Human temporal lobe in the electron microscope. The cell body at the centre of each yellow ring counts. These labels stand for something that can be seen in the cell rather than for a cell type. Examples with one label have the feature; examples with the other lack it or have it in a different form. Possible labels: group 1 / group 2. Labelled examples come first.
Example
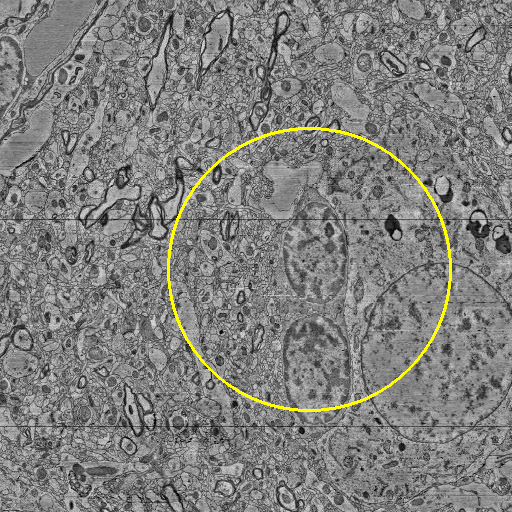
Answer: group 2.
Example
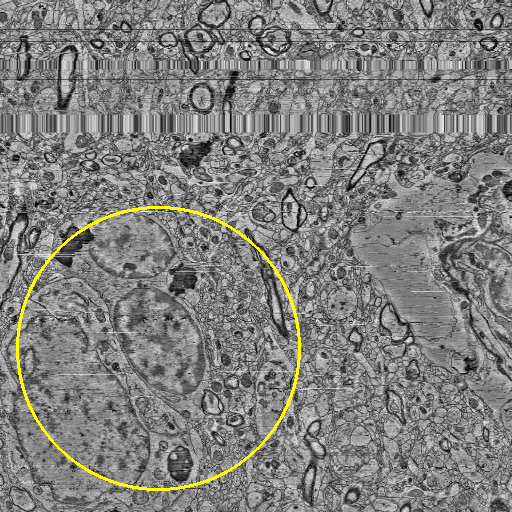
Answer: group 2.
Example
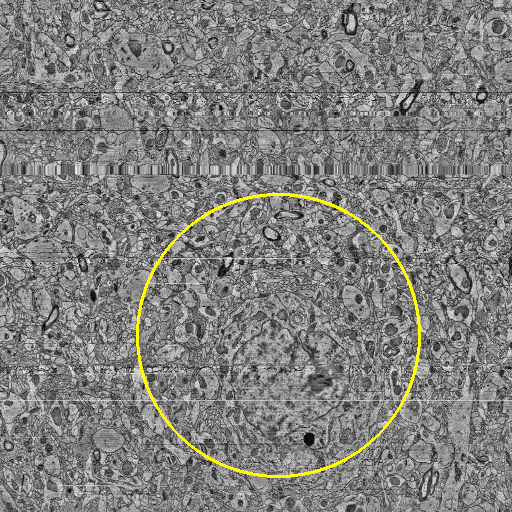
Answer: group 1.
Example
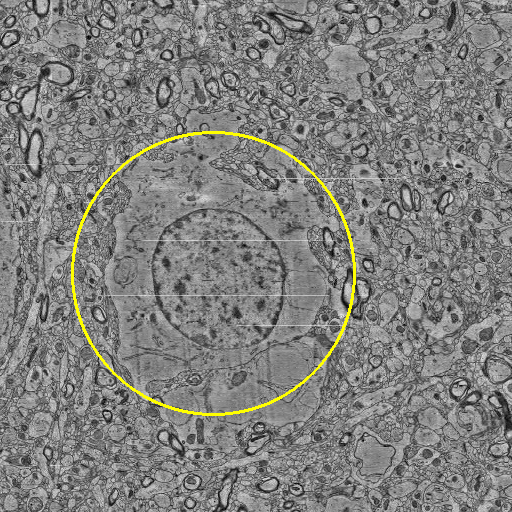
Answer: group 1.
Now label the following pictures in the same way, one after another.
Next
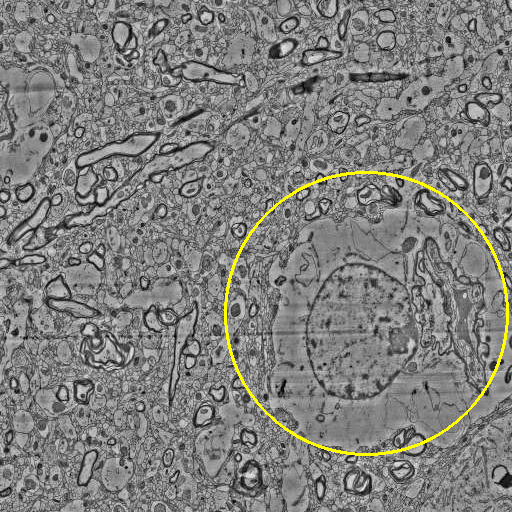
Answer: group 1.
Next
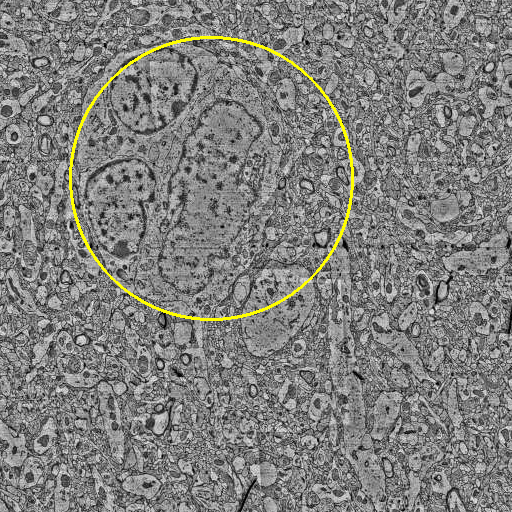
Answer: group 2.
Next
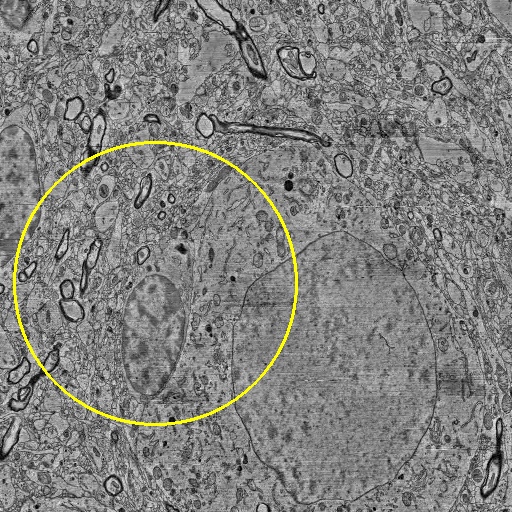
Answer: group 2.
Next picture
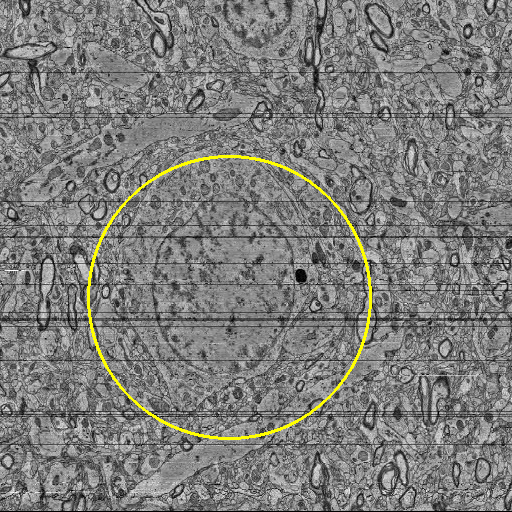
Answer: group 1.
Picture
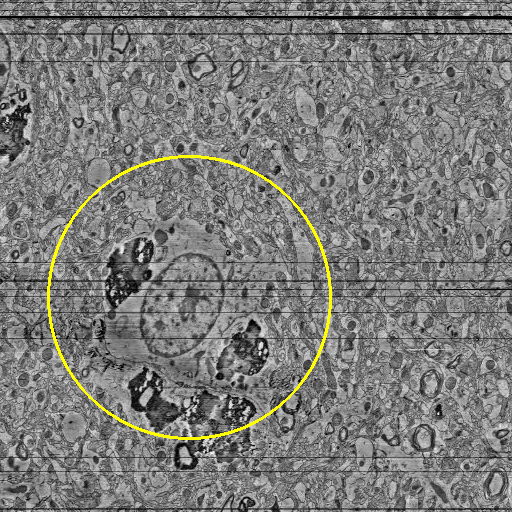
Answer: group 1.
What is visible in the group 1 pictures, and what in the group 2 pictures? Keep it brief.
In group 1: round or nearly round nuclei. In group 2: clearly elongated nuclei.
